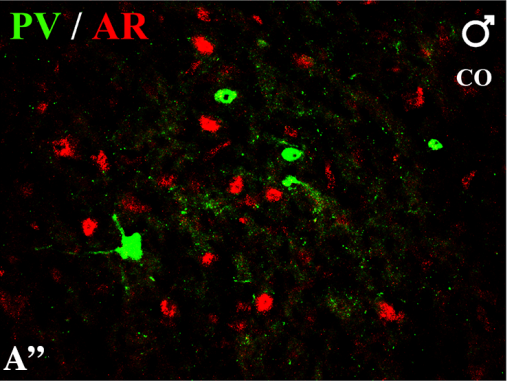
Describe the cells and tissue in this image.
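Few green neurons, round to multipolar with short processes, lie among numerous round red nuclei. The green cell bodies do not contain red nuclei; red and green stay apart. Faint granular green dots are scattered through the background.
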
